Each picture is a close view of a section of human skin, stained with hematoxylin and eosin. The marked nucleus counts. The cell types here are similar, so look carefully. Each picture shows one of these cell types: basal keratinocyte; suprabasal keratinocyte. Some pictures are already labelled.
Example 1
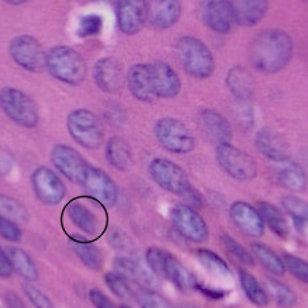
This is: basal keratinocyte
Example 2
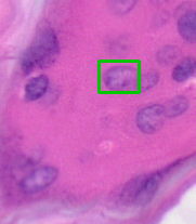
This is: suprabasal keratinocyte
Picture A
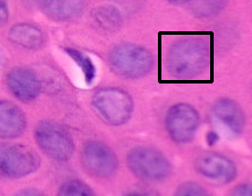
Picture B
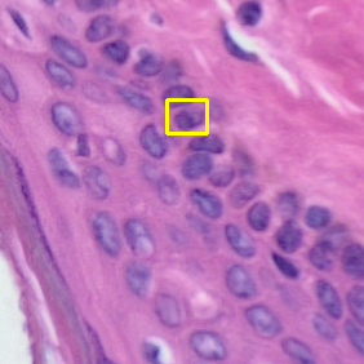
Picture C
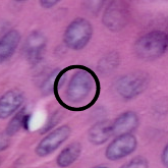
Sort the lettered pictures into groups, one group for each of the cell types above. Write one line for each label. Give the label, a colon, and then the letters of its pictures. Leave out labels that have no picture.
basal keratinocyte: B
suprabasal keratinocyte: A, C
